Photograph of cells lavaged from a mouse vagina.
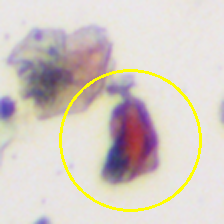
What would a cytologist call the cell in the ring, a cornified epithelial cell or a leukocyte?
A cytologist would call it a cornified epithelial cell.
